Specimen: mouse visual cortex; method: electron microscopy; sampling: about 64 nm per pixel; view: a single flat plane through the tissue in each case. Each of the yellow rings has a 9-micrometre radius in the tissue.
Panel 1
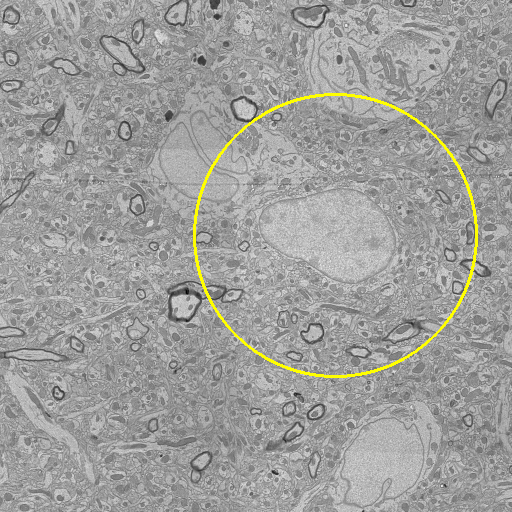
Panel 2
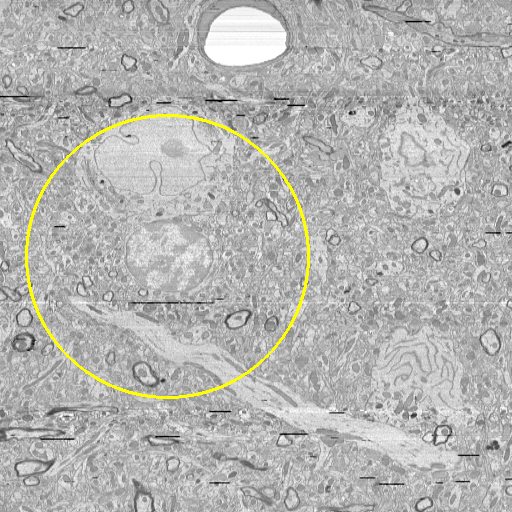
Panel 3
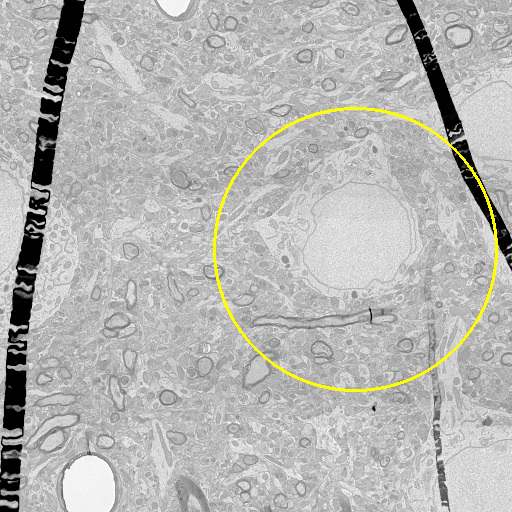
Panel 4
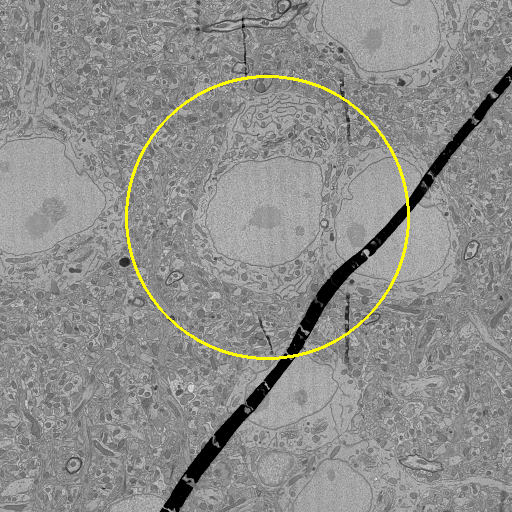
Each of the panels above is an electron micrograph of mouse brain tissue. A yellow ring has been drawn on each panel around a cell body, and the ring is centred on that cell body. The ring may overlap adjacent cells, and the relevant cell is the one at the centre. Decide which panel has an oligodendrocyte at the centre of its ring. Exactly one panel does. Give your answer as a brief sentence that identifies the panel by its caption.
Panel 2 is the one with it at the centre of the ring.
